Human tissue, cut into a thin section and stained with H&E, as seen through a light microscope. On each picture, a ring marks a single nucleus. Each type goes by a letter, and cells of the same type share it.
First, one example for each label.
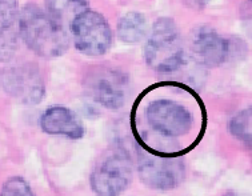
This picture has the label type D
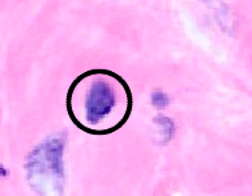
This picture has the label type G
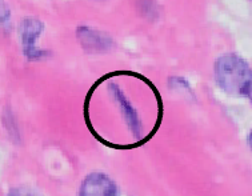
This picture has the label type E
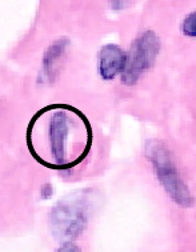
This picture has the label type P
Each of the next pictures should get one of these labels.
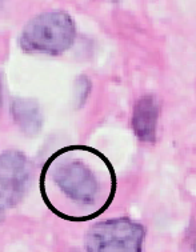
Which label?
type D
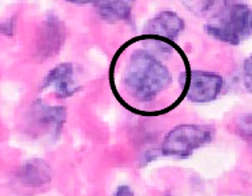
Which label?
type D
